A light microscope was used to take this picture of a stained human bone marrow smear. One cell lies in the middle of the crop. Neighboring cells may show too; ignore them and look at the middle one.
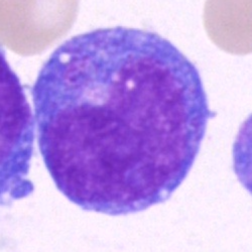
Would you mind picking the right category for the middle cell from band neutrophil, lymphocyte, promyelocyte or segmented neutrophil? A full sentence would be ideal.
The cell that lies at the centre of the crop is a promyelocyte.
